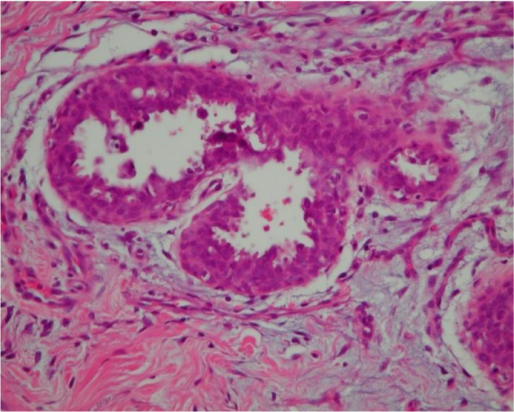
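Breast tissue with a branching duct whose epithelium is thickened into several layers of crowded cells. The cells have dark purple nuclei, and they form tufts and bridges that project into an irregular, partly bridged lumen. A cuff of pale, loose stroma with scattered spindle-shaped nuclei surrounds the duct. Beyond it lie pink collagen bundles.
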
